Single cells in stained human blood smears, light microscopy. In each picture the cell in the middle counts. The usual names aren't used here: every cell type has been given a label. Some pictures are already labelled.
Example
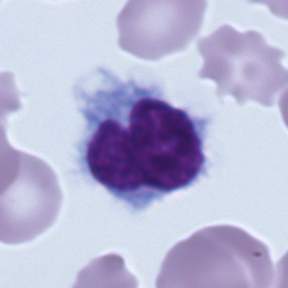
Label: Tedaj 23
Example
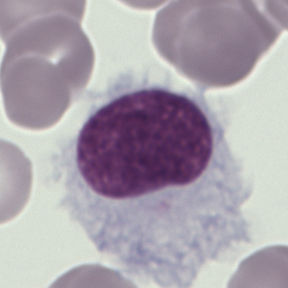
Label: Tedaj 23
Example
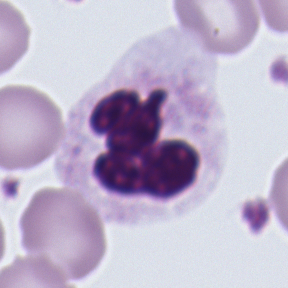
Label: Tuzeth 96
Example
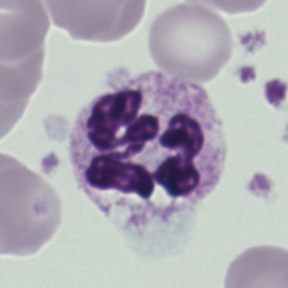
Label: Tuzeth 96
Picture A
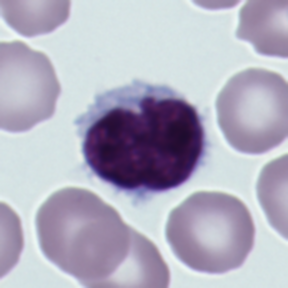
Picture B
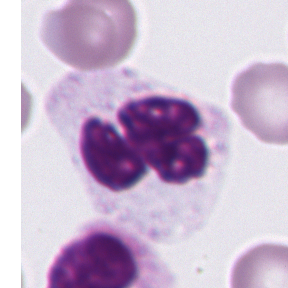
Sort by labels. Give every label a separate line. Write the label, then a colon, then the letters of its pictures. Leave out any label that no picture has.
Tedaj 23: A
Tuzeth 96: B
